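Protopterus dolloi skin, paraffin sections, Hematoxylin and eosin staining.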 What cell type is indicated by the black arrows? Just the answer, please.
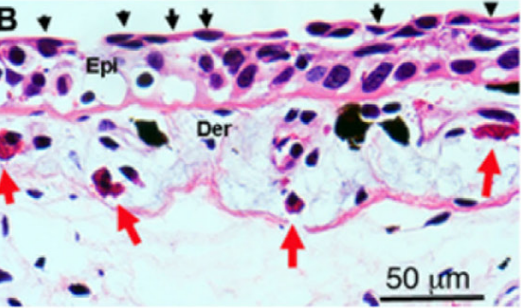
Flattened keratinocytes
